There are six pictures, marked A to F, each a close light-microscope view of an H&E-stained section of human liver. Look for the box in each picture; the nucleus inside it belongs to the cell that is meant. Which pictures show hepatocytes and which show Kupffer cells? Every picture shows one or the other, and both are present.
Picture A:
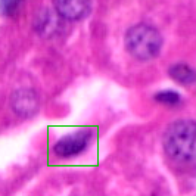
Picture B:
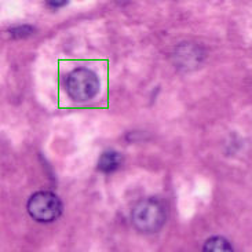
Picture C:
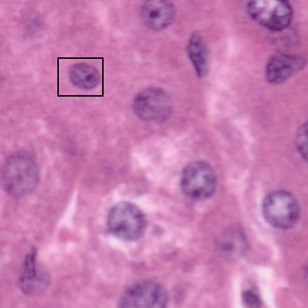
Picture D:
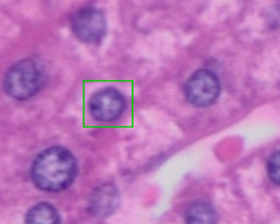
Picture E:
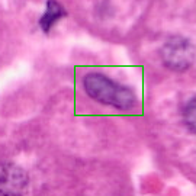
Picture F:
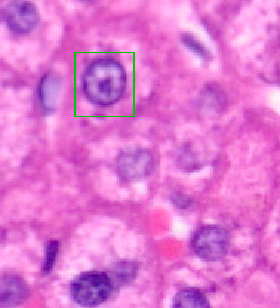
A: Kupffer cell
B: hepatocyte
C: hepatocyte
D: hepatocyte
E: Kupffer cell
F: hepatocyte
